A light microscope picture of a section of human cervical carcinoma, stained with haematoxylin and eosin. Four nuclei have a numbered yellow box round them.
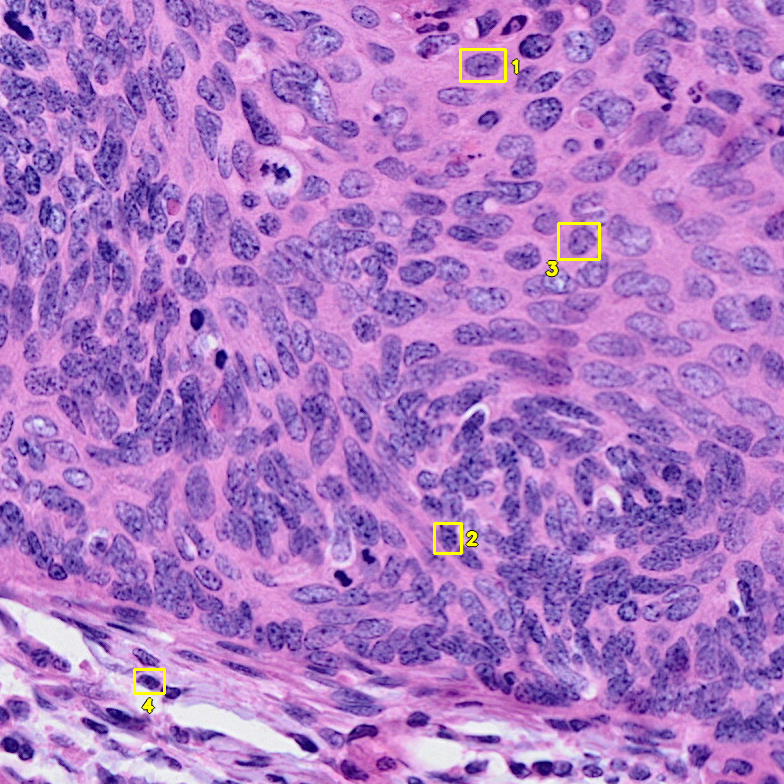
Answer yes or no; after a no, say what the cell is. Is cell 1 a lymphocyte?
No, it is a squamous carcinoma cell.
